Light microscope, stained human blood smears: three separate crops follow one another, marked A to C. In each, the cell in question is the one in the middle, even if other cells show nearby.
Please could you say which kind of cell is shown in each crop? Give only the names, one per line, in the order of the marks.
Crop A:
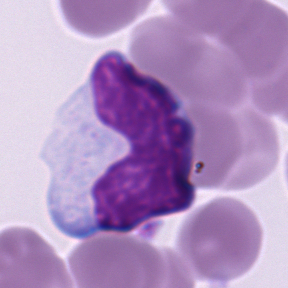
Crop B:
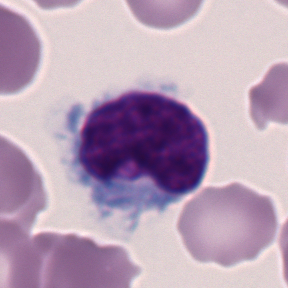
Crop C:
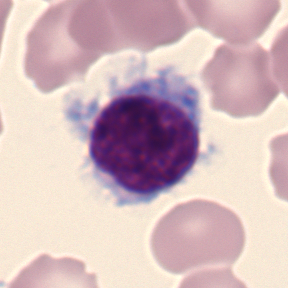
large granular lymphocyte
hairy cell
hairy cell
